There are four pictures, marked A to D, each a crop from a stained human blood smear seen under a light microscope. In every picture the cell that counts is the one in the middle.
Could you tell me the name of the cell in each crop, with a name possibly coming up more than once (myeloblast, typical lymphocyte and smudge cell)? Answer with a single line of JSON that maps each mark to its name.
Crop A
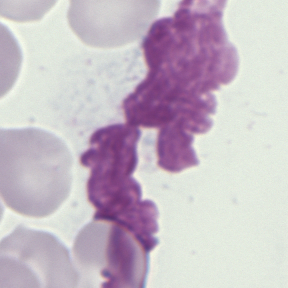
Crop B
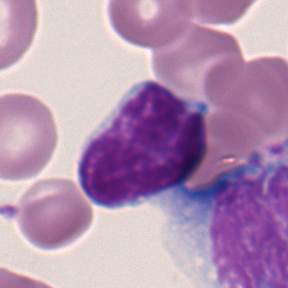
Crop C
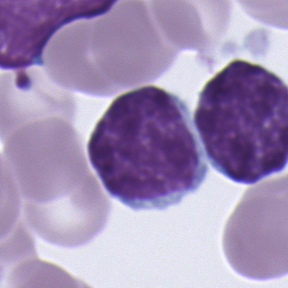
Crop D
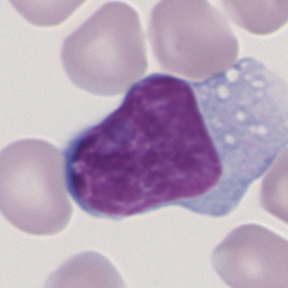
{"A": "smudge cell", "B": "typical lymphocyte", "C": "typical lymphocyte", "D": "myeloblast"}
